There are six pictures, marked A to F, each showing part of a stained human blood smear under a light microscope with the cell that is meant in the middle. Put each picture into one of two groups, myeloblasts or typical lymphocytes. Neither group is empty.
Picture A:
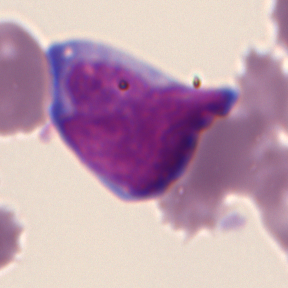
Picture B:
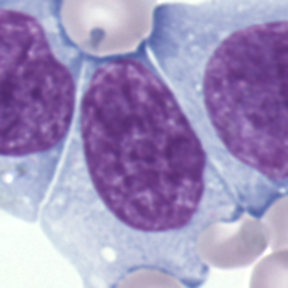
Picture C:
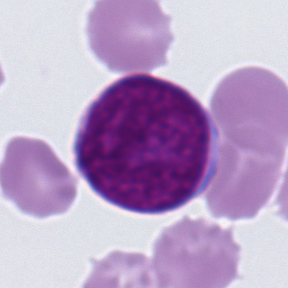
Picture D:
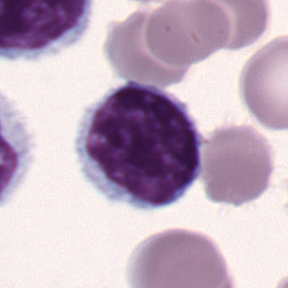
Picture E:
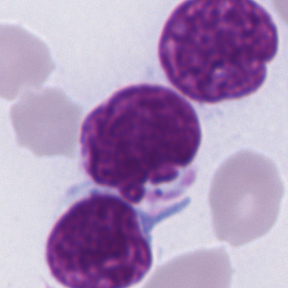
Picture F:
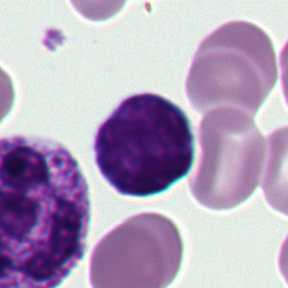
A: myeloblast
B: myeloblast
C: myeloblast
D: typical lymphocyte
E: myeloblast
F: typical lymphocyte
